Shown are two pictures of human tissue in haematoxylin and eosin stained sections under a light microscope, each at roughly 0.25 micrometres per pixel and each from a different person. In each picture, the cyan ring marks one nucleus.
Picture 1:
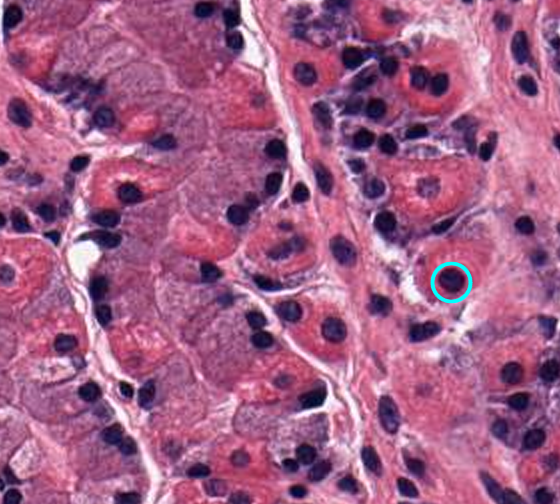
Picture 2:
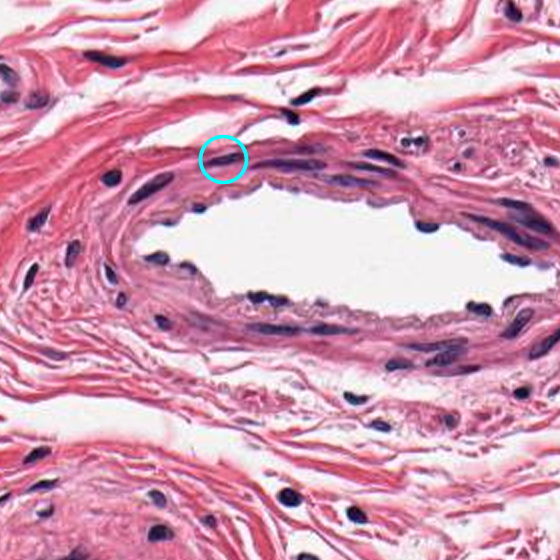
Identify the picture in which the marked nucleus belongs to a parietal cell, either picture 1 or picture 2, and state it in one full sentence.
In picture 1, the marked nucleus belongs to a parietal cell, while in the other picture it does not.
